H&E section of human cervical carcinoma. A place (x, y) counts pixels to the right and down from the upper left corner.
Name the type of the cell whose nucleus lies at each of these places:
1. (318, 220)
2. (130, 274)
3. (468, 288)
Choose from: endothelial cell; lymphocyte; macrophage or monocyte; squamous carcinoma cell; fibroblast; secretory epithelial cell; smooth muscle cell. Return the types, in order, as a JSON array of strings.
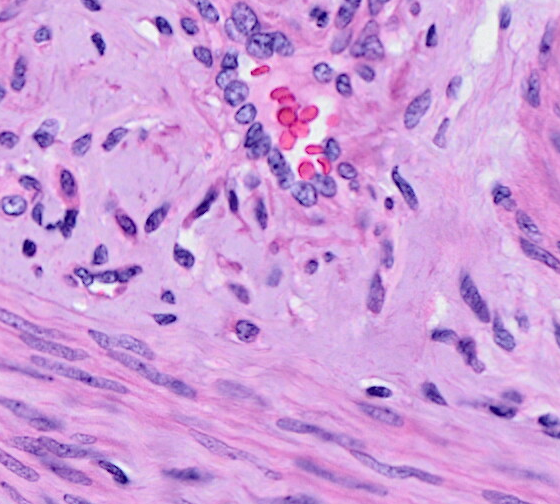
["smooth muscle cell", "endothelial cell", "fibroblast"]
